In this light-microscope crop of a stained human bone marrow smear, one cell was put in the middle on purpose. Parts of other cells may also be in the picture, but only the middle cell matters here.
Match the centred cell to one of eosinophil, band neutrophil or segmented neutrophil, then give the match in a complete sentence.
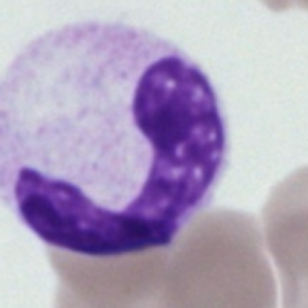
For this crop, the central cell is a band neutrophil.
